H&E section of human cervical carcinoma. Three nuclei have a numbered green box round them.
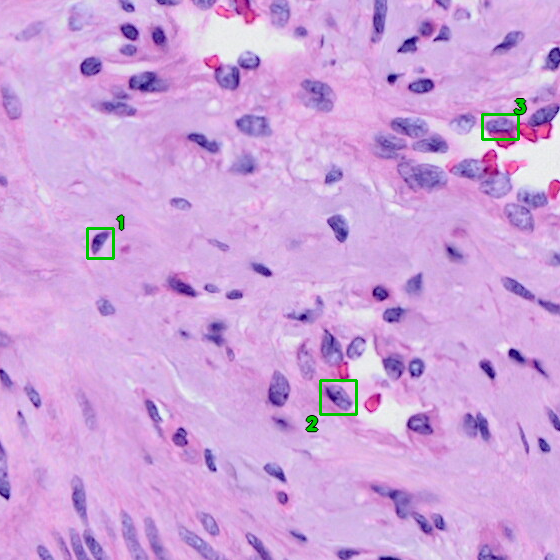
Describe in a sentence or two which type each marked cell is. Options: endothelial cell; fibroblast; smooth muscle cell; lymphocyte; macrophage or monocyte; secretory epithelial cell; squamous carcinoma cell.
Cell 1 is a fibroblast. Cells 2 and 3 are endothelial cells.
